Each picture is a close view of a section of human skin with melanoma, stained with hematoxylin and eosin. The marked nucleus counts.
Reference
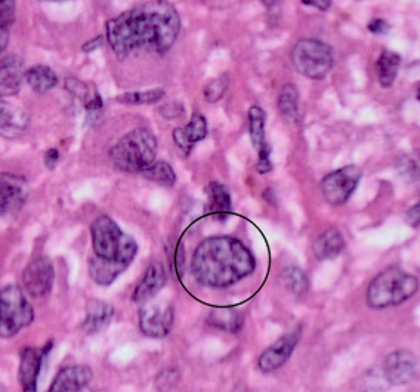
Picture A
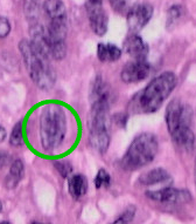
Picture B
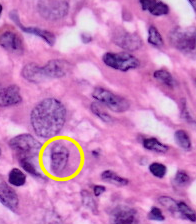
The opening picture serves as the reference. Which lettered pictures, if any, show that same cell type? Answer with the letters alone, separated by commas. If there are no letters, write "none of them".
A, B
